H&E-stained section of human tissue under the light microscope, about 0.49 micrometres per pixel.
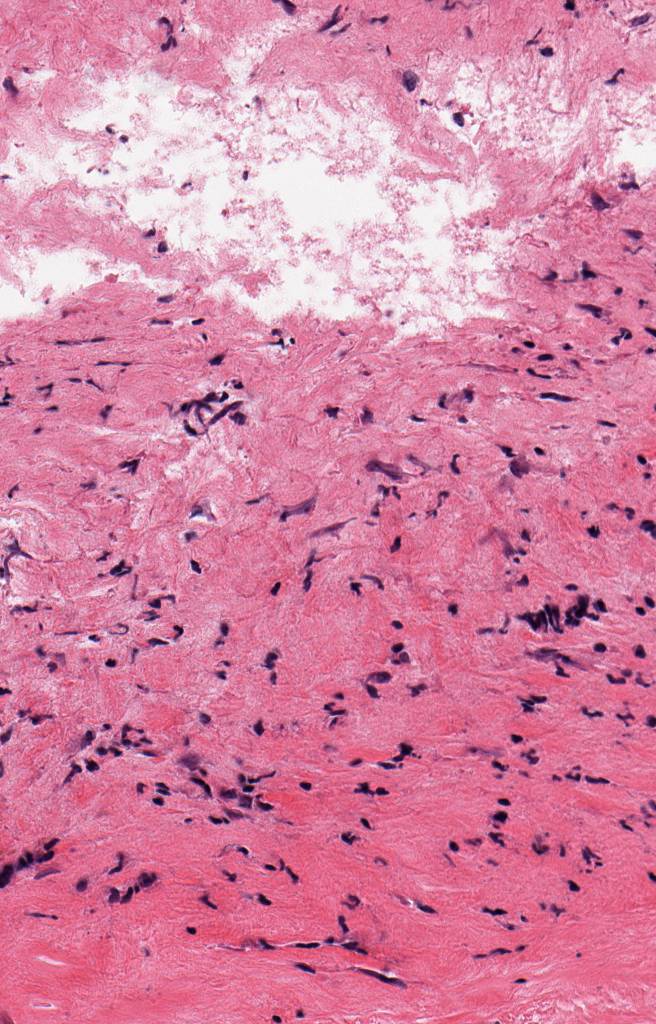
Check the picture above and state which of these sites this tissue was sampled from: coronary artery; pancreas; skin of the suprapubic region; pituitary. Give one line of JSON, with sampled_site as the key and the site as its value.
{"sampled_site": "coronary artery"}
